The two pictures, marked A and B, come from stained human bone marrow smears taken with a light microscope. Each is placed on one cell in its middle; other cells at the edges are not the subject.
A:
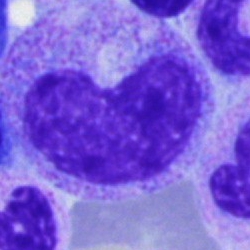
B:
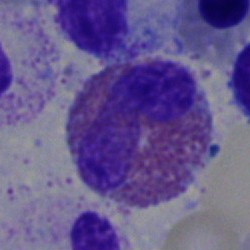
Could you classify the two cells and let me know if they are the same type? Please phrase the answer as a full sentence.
No, at the centre of crop A is a metamyelocyte, and at the centre of crop B is an eosinophil.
